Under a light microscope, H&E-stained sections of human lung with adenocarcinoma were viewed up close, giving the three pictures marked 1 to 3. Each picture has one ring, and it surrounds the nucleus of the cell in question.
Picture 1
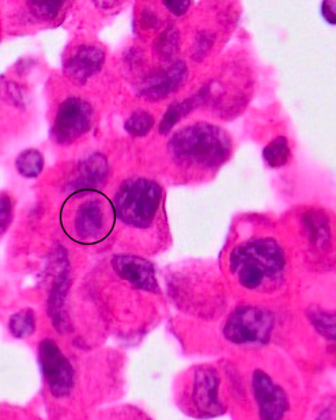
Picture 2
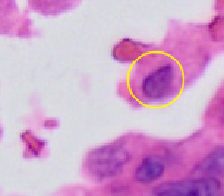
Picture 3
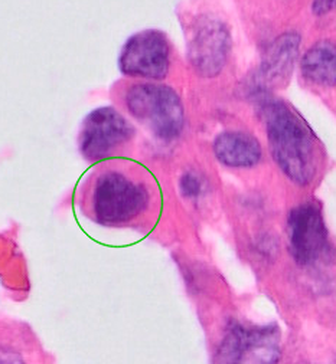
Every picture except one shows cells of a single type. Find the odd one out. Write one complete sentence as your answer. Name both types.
Picture 2 differs, because its cell is a “macrophage or monocyte” and the rest are carcinoma cells.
